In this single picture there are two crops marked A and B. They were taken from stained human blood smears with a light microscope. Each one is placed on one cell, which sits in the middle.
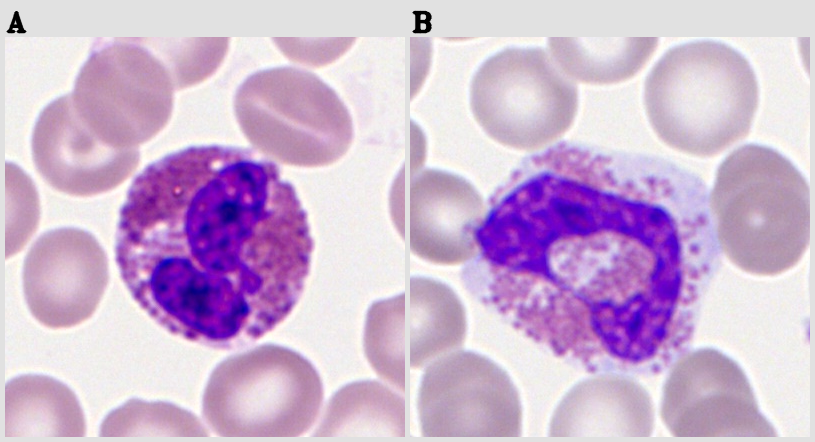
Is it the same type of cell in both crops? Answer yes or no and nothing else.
yes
